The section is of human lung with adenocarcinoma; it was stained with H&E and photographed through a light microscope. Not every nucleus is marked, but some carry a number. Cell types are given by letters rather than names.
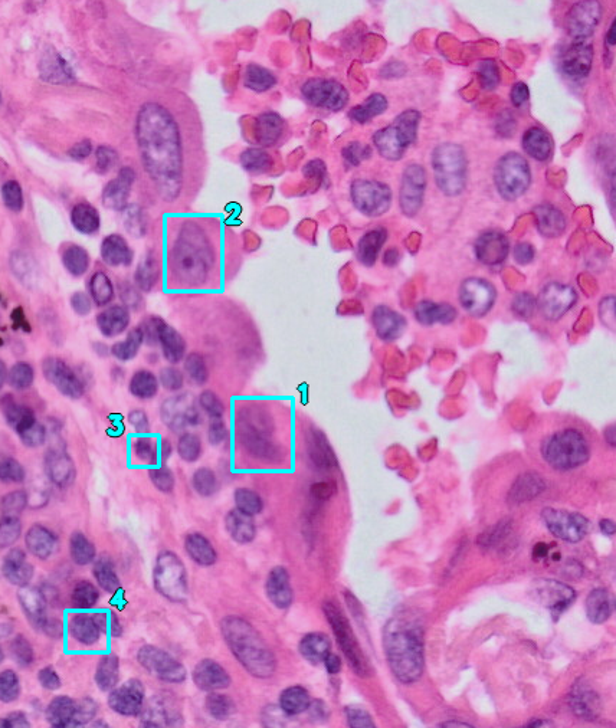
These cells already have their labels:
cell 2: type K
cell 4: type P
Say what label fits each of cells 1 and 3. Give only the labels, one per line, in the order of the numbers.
type K
type P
